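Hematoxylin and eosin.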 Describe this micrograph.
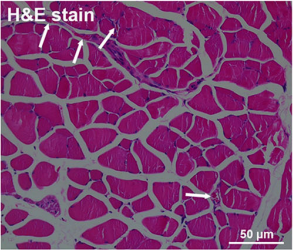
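Skeletal muscle in cross section shows many angular, pink-staining muscle fibers with small peripheral dark nuclei, set apart by pale grey spaces. Small blood vessels lie in the narrow interstitium between fibers, much smaller than the fibers themselves.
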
